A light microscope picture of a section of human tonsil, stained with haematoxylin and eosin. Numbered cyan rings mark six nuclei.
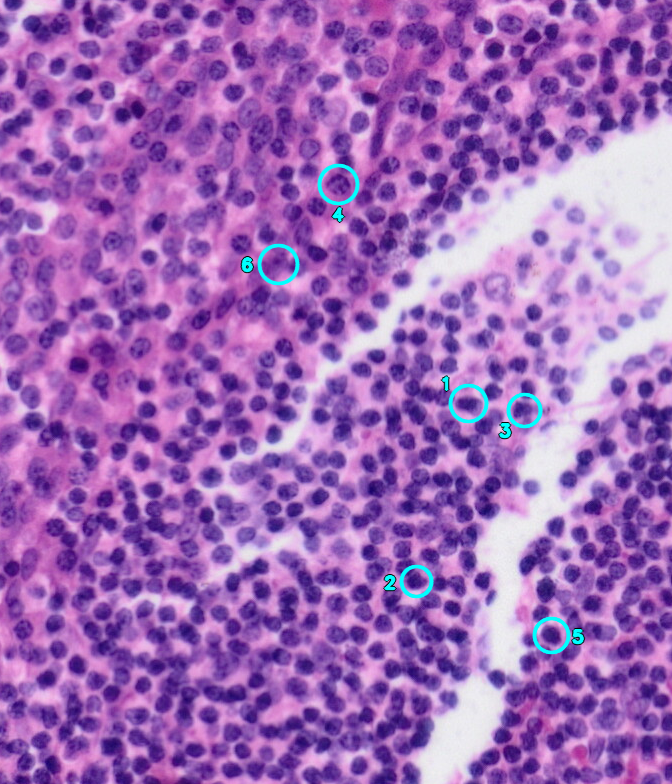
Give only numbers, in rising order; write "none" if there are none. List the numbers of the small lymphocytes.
1, 2, 3, 5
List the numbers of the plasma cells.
4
